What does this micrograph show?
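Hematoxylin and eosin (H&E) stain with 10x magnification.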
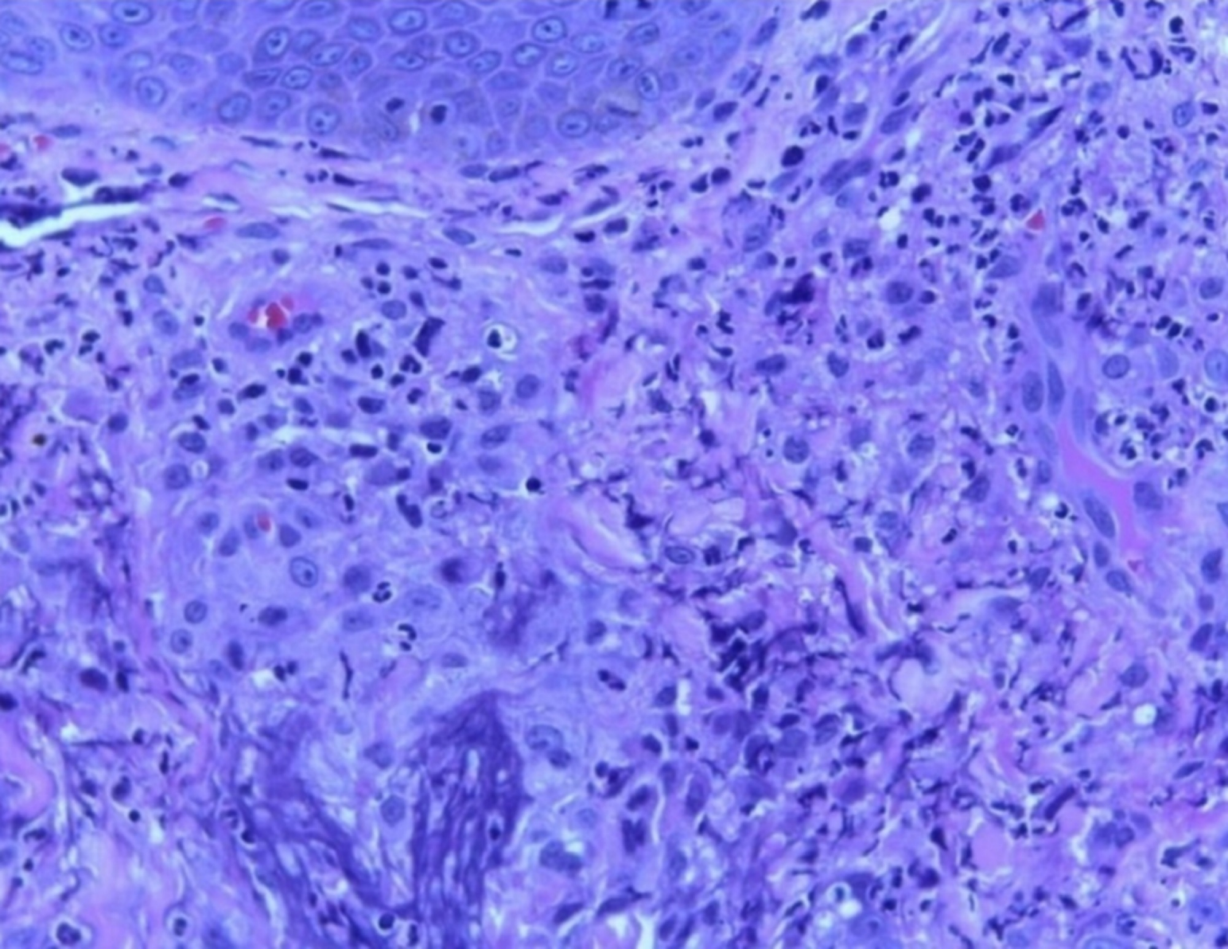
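Skin with the dermis diffusely infiltrated by sheets of histiocytes. Stratified squamous epithelium runs along the top edge. Its polygonal keratinocytes have round, pale nuclei and distinct cell borders. Beneath it, the dermal connective tissue is largely replaced by a dense cellular infiltrate. Smaller cells with dark, compact nuclei are scattered throughout. A few small vessels contain red blood cells. Wisps of pink collagen and dark-stained streaks separate the clusters.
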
